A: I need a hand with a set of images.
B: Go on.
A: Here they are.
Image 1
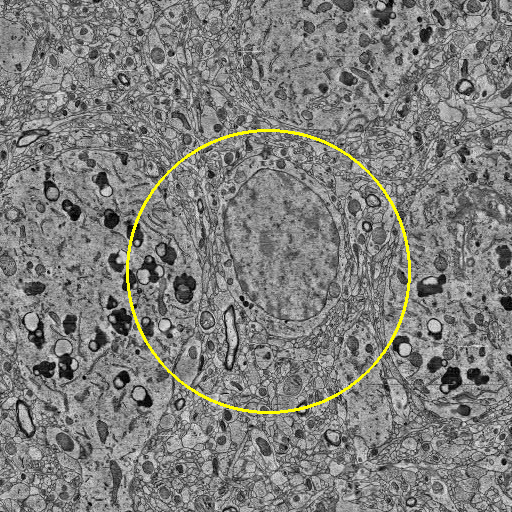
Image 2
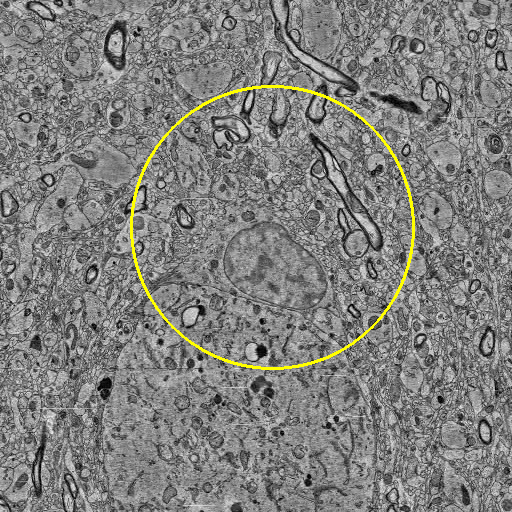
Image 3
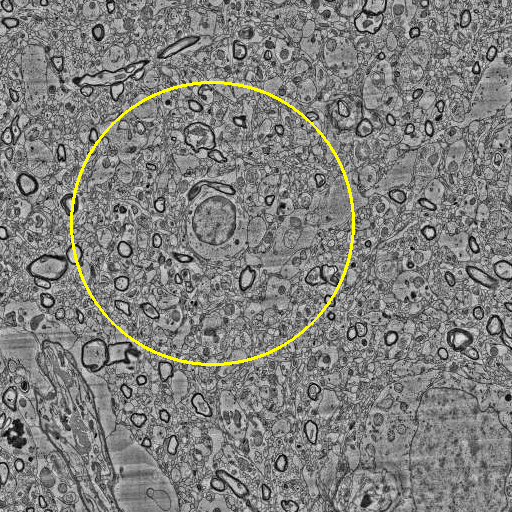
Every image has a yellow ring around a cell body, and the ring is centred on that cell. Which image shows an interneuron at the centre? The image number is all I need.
1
